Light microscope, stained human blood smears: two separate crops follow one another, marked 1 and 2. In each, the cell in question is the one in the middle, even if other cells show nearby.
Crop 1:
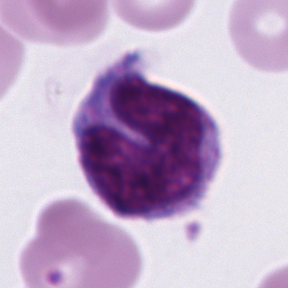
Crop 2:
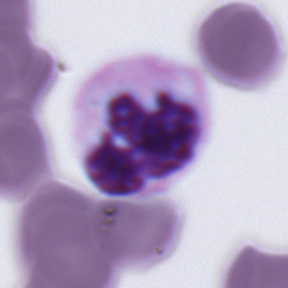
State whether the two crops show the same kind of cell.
no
